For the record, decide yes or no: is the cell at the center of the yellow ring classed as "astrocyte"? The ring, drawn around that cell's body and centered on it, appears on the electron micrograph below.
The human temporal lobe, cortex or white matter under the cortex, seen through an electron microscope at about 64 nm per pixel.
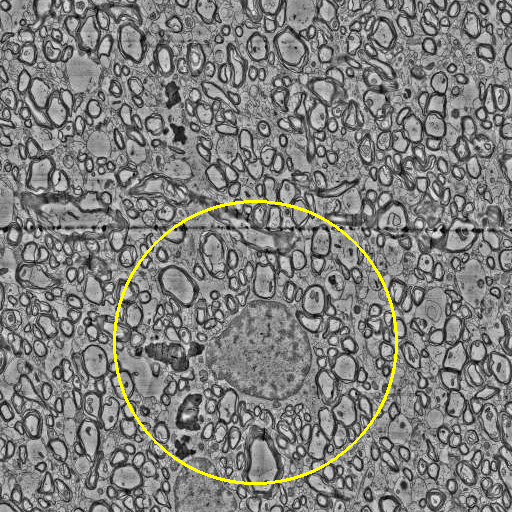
no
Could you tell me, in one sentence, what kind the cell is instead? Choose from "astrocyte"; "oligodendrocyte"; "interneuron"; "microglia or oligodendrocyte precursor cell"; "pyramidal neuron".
Instead, the cell inside the ring is an oligodendrocyte.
